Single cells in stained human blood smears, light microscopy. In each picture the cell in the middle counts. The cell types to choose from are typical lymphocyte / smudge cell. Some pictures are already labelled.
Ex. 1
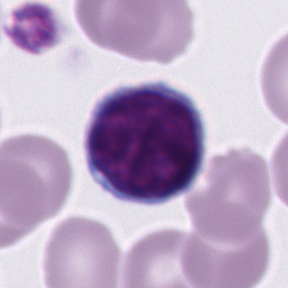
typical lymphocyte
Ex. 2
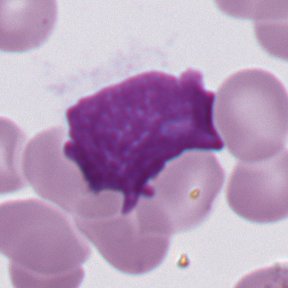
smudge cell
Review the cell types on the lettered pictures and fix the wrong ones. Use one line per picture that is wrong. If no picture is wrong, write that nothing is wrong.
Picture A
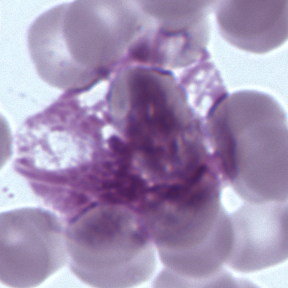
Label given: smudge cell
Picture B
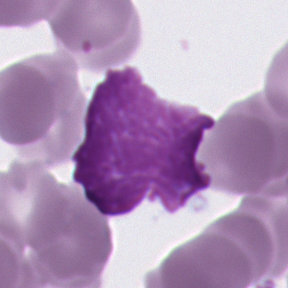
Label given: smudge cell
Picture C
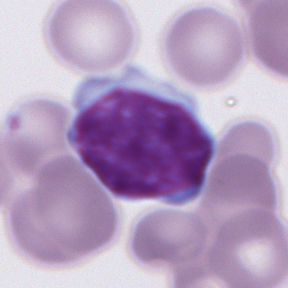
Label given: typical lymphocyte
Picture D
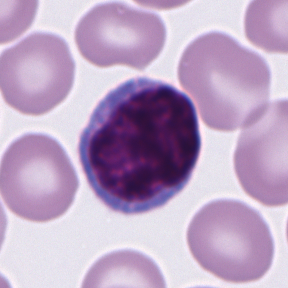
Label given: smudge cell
D: not smudge cell but typical lymphocyte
